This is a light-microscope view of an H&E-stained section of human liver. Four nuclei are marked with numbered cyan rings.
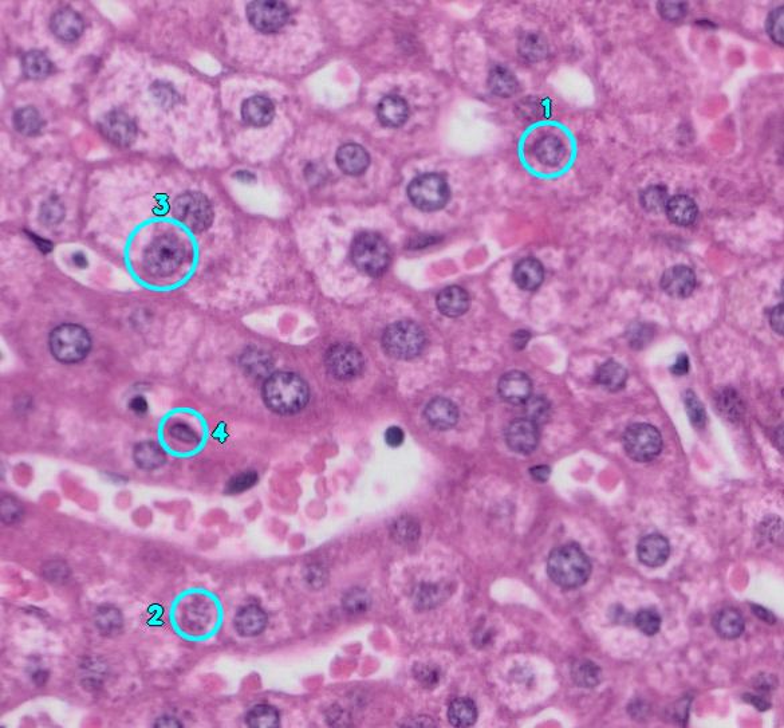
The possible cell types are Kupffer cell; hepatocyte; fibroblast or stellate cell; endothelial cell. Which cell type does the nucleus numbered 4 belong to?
Kupffer cell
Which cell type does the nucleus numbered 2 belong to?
hepatocyte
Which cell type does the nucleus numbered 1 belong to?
hepatocyte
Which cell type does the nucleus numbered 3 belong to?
hepatocyte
